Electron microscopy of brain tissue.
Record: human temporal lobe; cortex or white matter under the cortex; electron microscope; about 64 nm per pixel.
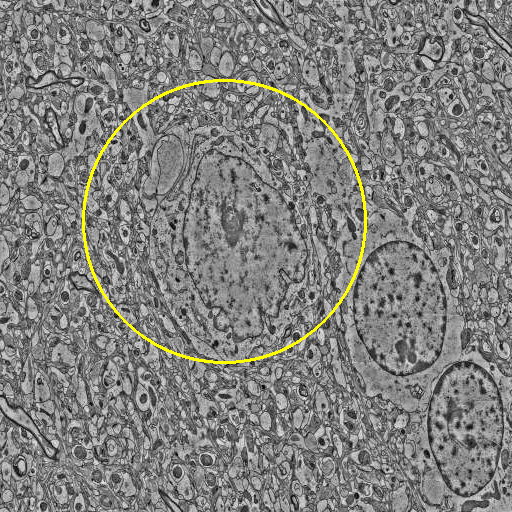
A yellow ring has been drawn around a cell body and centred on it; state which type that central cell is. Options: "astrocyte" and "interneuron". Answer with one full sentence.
The cell at the middle of the yellow ring is an interneuron in this picture.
